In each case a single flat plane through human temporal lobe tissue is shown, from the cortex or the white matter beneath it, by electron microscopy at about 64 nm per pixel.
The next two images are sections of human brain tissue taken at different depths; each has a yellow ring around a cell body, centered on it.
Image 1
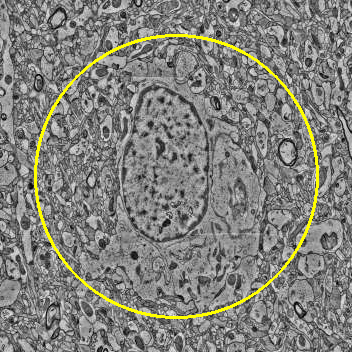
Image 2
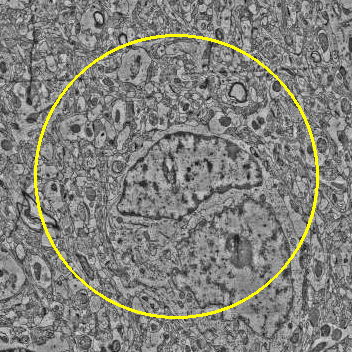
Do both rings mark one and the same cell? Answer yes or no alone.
no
